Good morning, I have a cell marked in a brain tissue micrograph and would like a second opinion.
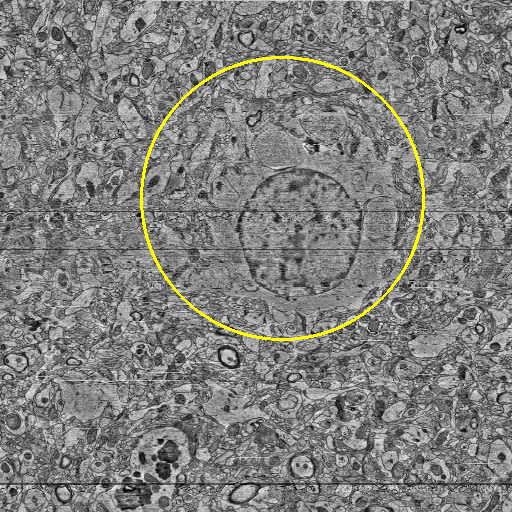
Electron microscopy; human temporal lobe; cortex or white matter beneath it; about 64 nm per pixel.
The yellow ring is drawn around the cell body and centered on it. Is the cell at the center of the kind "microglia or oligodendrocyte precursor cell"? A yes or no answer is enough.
no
